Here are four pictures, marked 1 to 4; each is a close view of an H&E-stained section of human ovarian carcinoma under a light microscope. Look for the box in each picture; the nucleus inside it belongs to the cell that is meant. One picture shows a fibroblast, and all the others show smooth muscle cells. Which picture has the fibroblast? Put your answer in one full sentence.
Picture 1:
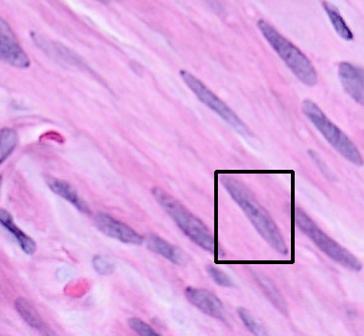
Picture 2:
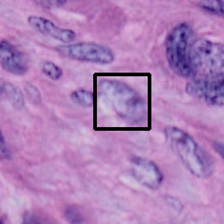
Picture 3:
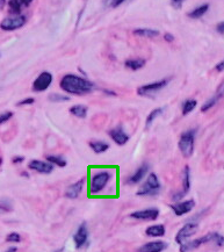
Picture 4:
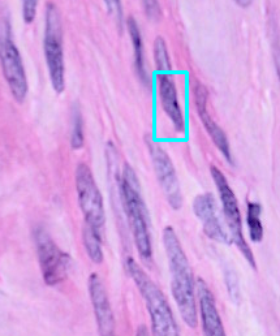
Picture 2 shows the fibroblast.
